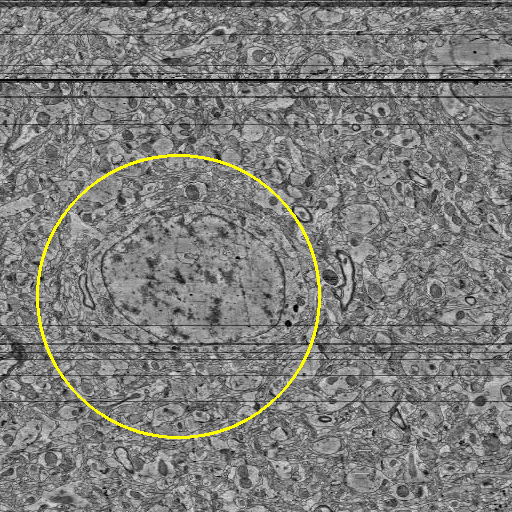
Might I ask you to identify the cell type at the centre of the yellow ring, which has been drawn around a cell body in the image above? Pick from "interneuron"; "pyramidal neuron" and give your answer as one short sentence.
The centre of the ring falls on a pyramidal neuron.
